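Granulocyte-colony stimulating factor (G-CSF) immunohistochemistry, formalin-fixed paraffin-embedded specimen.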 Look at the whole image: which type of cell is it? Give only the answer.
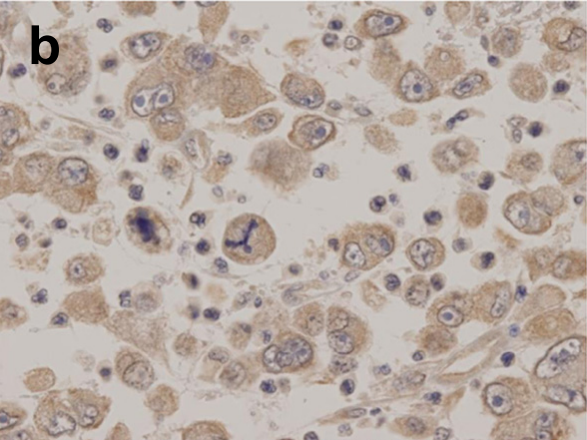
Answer: Pleomorphic tumor cell variant.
